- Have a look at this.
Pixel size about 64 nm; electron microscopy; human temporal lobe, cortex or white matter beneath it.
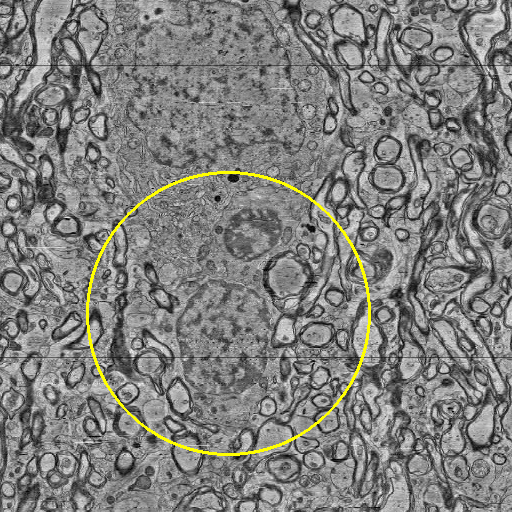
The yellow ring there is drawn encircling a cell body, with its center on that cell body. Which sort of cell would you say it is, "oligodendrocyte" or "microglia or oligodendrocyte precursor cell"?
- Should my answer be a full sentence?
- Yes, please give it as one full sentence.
For this picture, an oligodendrocyte is the cell where the yellow ring has its center.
